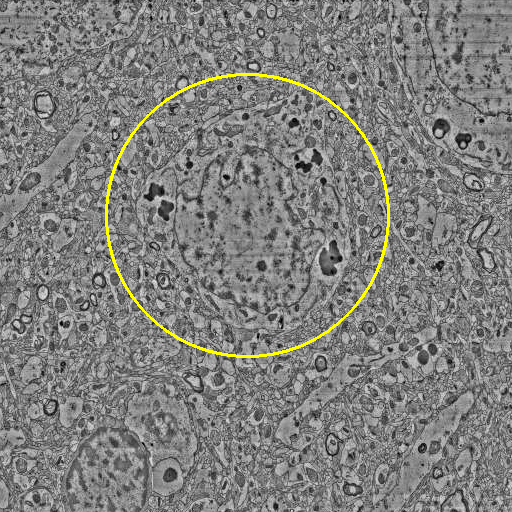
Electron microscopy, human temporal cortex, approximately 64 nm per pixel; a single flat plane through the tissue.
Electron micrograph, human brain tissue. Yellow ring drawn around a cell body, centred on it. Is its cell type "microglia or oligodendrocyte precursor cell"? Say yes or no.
no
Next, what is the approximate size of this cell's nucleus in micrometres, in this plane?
About 11 micrometres by about 9 micrometres in this plane.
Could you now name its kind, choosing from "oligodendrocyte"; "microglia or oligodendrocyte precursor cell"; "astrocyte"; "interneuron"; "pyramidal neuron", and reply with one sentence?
Instead, what sits at the centre of the ring is an interneuron.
